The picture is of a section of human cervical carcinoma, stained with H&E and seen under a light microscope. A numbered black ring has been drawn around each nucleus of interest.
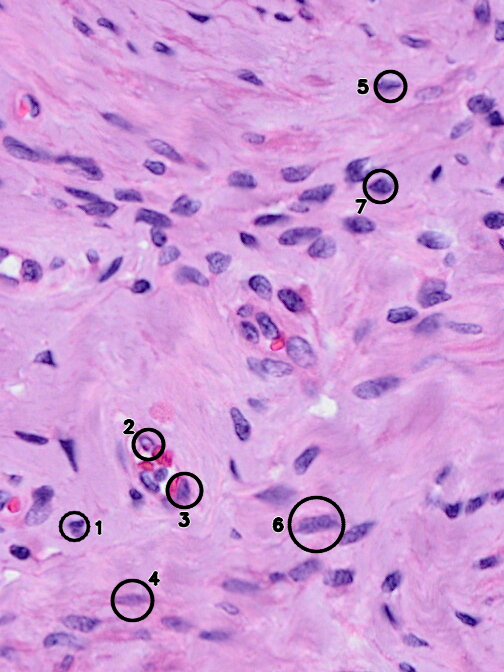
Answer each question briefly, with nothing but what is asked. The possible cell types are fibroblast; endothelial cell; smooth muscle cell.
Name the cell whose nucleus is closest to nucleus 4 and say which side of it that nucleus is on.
a smooth muscle cell, below nucleus 4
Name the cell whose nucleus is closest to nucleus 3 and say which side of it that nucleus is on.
an endothelial cell below and to the left of nucleus 3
